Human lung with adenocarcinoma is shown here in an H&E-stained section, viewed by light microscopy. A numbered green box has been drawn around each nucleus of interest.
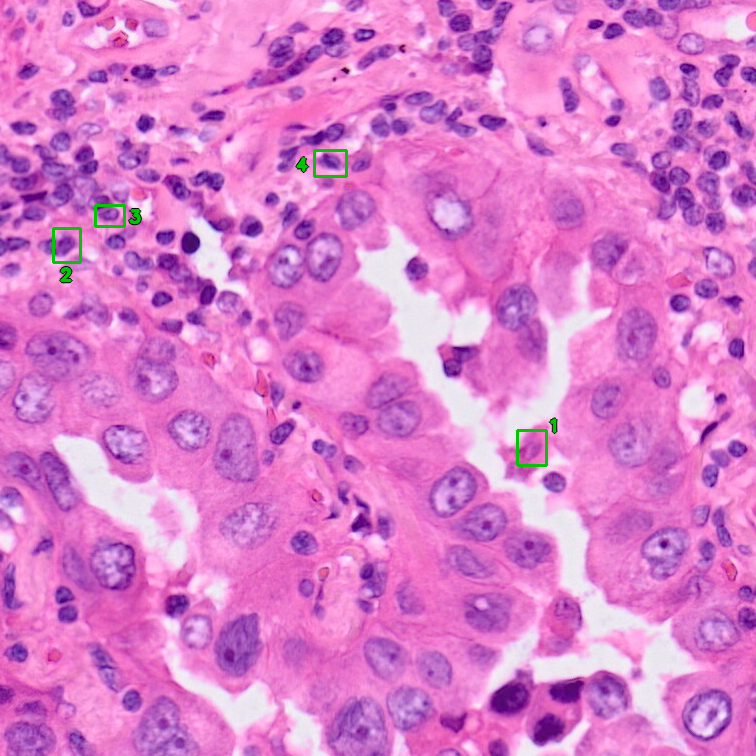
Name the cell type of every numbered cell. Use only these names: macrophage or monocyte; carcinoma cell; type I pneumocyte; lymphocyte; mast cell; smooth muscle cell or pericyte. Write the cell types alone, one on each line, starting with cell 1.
macrophage or monocyte
lymphocyte
lymphocyte
lymphocyte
